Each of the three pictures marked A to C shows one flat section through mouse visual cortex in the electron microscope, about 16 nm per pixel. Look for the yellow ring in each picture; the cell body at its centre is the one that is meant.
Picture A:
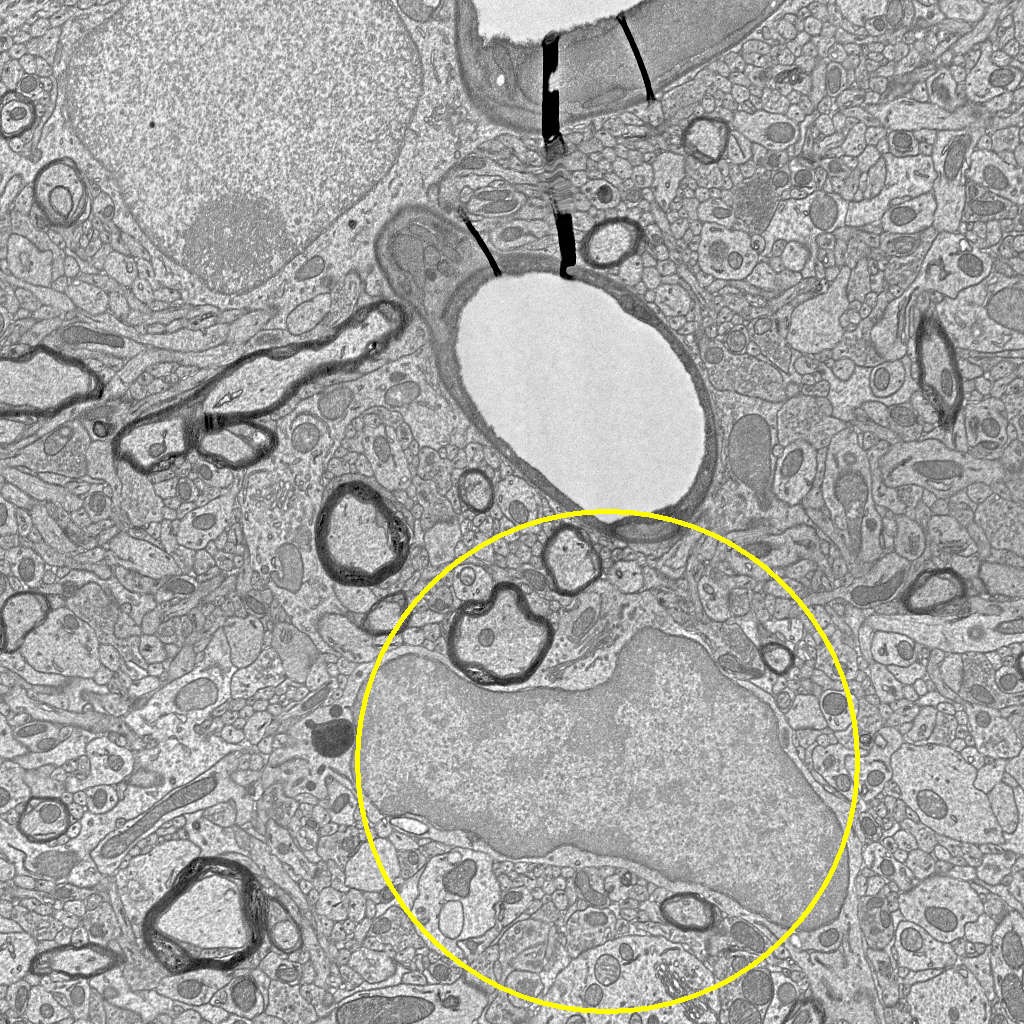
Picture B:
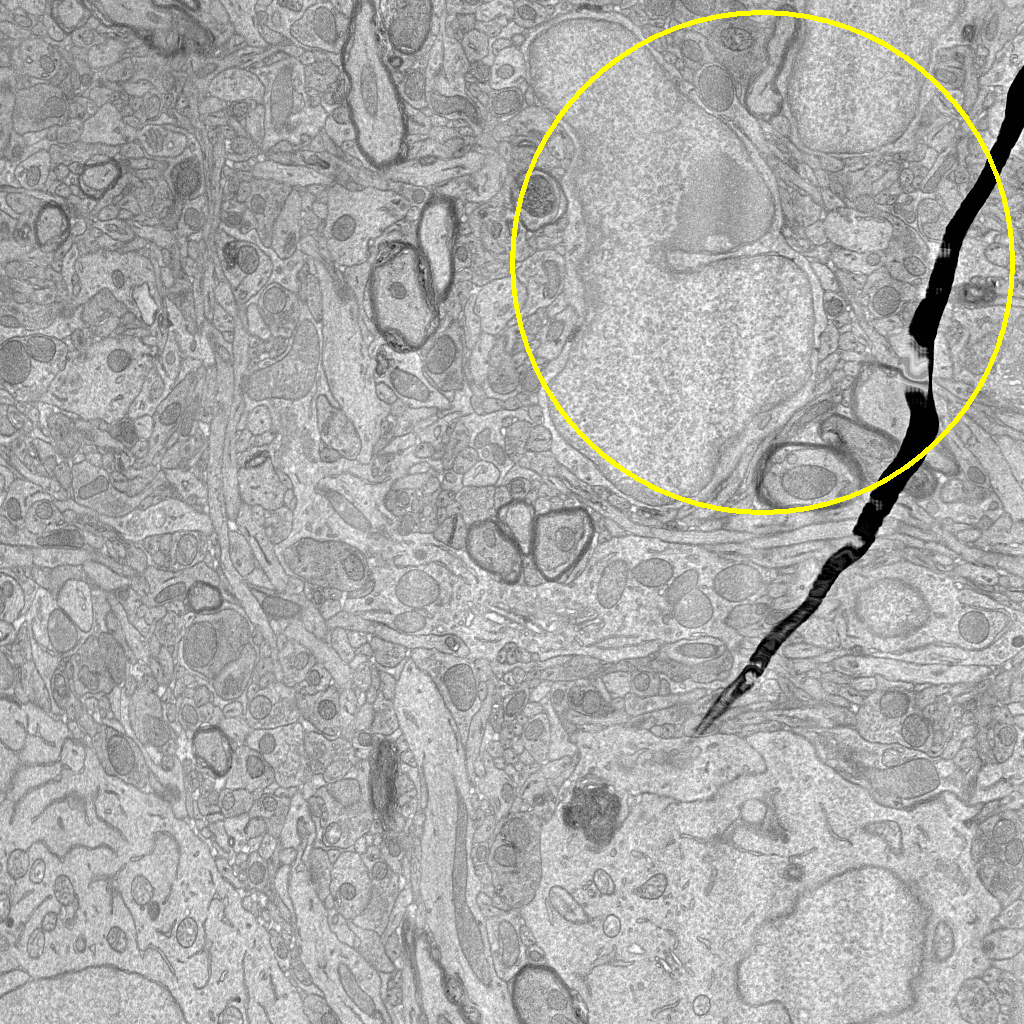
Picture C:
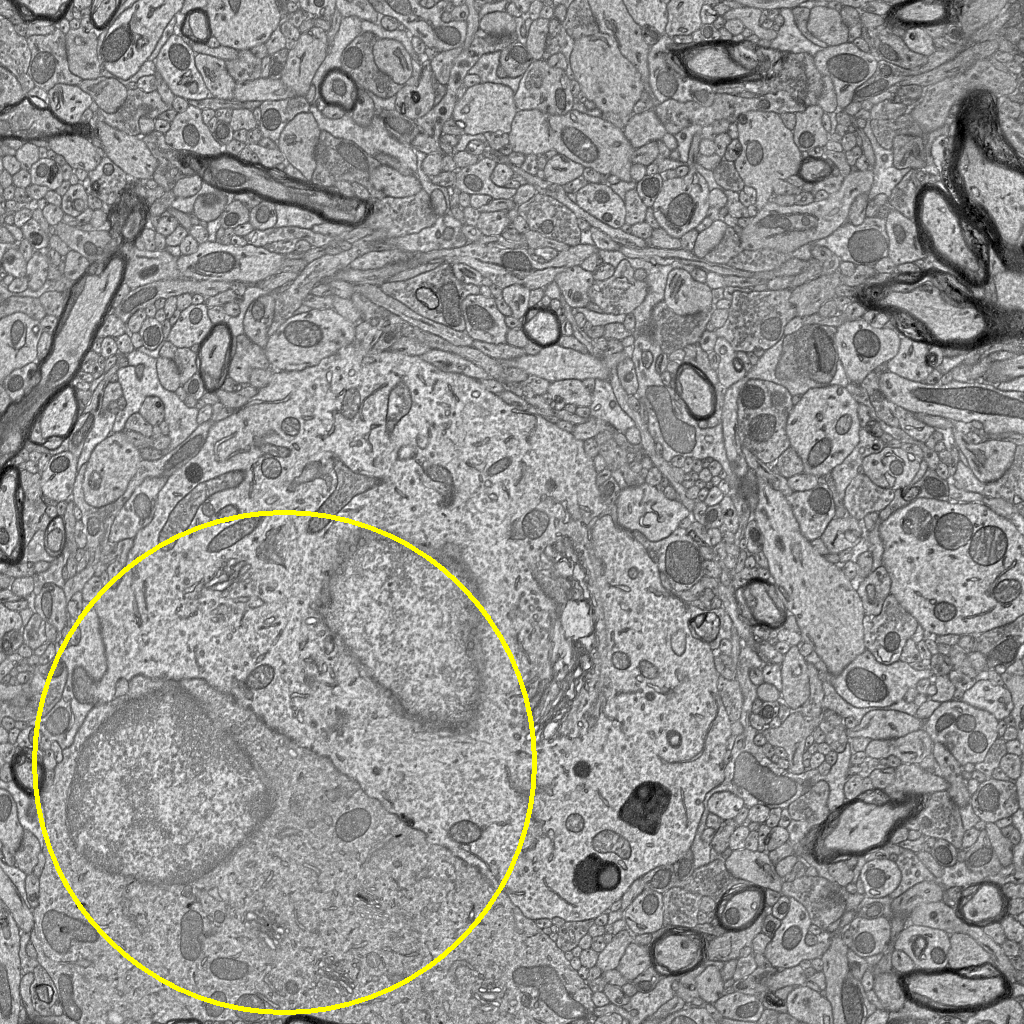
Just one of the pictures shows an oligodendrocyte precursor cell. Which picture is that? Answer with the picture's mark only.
B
